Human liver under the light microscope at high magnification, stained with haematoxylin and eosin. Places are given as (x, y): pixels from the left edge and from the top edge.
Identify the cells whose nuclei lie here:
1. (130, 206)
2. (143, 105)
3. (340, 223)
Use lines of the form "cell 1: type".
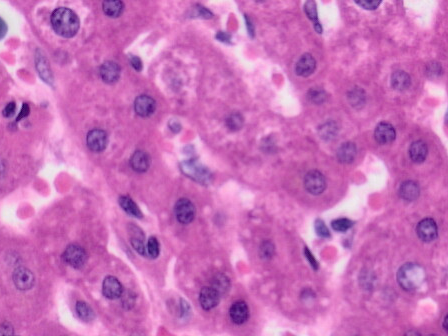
cell 1: fibroblast or stellate cell
cell 2: hepatocyte
cell 3: lymphocyte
